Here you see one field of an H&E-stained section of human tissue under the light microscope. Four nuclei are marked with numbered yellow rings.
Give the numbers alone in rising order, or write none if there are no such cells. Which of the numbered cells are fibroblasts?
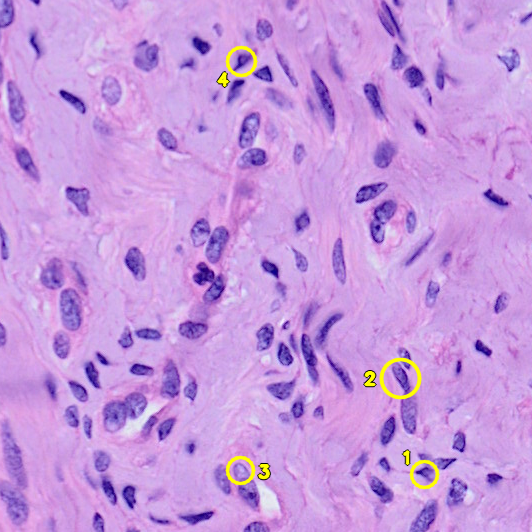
1, 2, 4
